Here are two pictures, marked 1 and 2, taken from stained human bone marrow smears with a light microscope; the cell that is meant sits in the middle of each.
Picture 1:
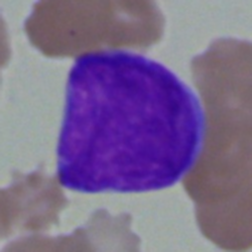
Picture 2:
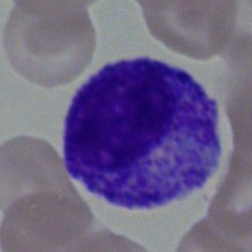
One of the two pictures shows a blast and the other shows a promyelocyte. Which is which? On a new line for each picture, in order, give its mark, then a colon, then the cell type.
1: blast
2: promyelocyte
